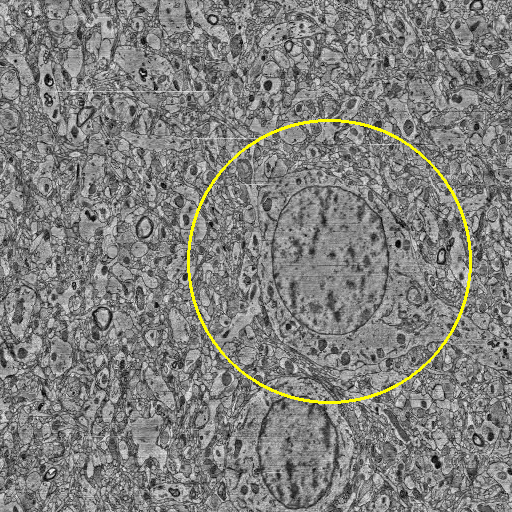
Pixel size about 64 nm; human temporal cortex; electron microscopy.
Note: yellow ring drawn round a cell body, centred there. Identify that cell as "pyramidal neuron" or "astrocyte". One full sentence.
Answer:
The cell in the middle of the ring is a pyramidal neuron.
